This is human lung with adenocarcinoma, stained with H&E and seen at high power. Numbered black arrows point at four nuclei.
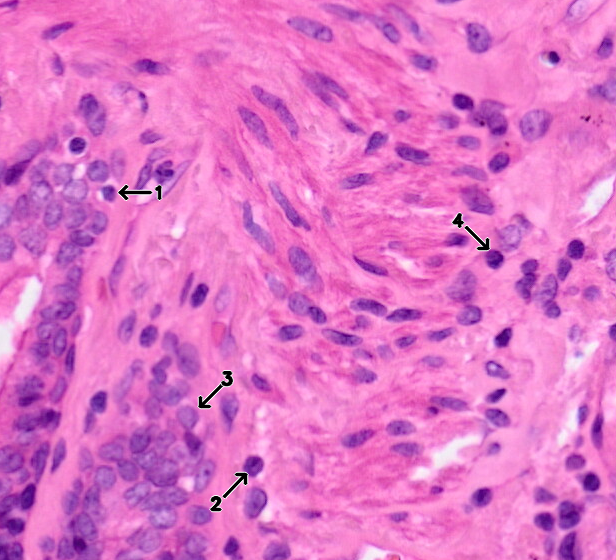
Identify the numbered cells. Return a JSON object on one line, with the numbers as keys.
{"1": "lymphocyte", "2": "lymphocyte", "3": "ciliated epithelial cell", "4": "lymphocyte"}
